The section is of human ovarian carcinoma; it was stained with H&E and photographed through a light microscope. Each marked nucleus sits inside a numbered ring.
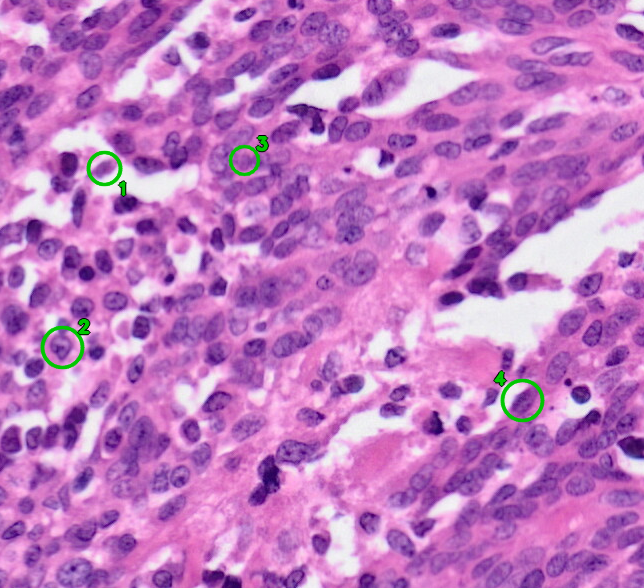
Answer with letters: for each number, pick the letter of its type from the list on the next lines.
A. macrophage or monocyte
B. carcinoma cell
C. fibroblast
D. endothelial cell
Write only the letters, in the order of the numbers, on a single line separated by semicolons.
B; A; B; B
